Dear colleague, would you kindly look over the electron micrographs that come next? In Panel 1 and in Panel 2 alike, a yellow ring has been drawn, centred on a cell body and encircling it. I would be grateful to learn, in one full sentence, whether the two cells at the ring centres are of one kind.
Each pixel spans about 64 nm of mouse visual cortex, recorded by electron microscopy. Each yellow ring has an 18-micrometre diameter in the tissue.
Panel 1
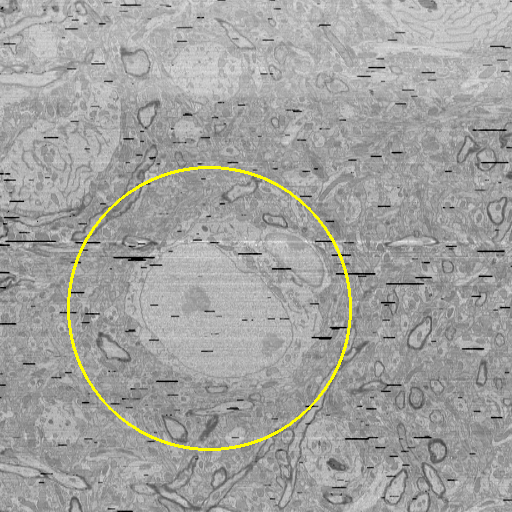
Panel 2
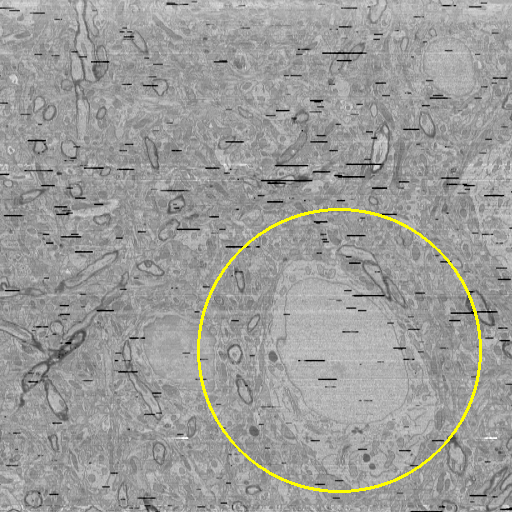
Yes, the cells in the middle of the rings in the two panels are of one kind.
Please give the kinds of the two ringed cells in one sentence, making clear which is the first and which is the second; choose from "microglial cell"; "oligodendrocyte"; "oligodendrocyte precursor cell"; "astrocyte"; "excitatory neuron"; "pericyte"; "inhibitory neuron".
Each cell, in the first picture and the second, is an excitatory neuron.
